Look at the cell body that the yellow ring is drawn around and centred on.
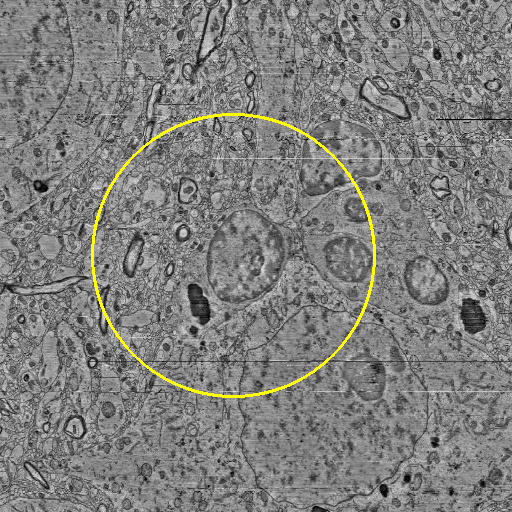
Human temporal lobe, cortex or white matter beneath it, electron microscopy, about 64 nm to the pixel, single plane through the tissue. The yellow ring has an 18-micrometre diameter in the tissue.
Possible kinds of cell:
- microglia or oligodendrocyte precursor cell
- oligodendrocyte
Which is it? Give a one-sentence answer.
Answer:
The centred cell body is that of an oligodendrocyte.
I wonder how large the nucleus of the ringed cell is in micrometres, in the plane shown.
The nucleus is approximately 6 micrometers long by 5 micrometers wide in this plane.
